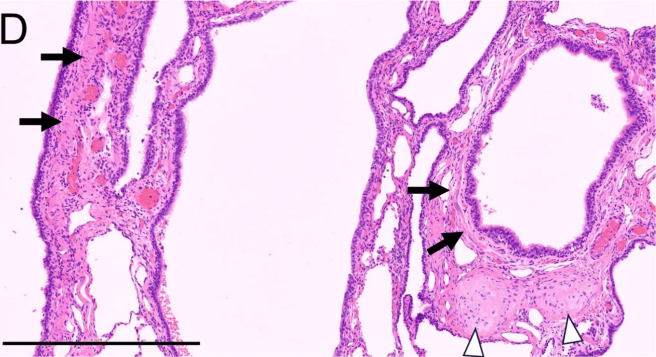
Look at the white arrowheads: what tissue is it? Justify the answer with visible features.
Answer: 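Small cartilaginous fragments. The arrowheads point to pale pink nodules in the wall. The nodules contain rounded cells set in a glassy matrix.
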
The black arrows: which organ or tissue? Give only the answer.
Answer: Smooth muscle tissue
